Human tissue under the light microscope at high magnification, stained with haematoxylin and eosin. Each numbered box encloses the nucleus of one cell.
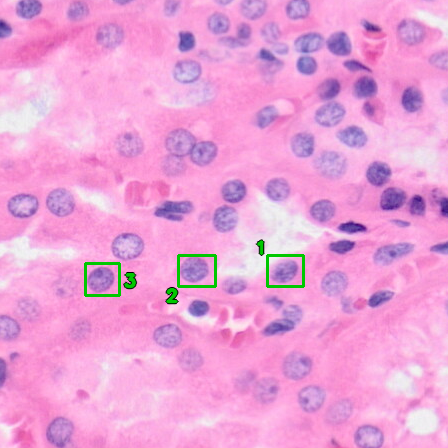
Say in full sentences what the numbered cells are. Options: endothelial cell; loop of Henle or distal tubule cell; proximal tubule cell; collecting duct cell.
Cells 1 and 2 are loop of Henle or distal tubule cells. Cell 3 is a proximal tubule cell.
